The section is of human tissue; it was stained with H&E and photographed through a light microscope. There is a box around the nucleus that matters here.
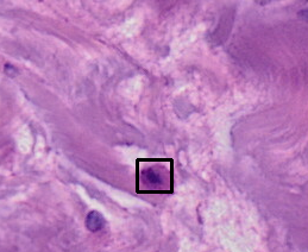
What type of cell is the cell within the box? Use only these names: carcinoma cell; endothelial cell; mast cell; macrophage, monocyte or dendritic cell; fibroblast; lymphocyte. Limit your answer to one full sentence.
As a matter of cell type, the cell within the box is a mast cell.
